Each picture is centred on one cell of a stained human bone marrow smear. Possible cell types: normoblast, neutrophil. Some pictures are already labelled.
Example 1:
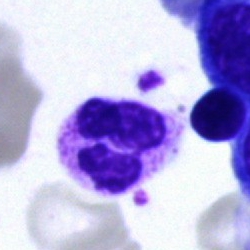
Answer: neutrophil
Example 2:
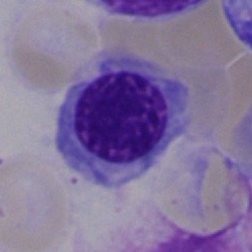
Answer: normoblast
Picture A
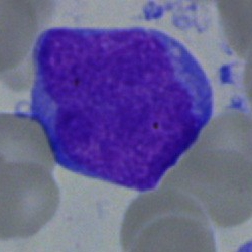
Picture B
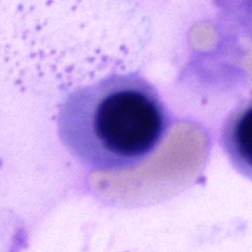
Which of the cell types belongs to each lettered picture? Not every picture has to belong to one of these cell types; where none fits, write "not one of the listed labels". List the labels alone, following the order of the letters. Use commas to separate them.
not one of the listed labels, normoblast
